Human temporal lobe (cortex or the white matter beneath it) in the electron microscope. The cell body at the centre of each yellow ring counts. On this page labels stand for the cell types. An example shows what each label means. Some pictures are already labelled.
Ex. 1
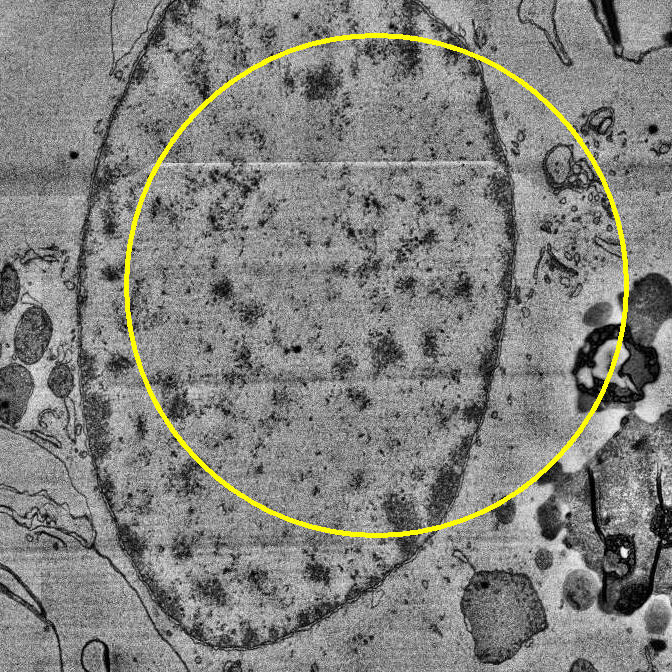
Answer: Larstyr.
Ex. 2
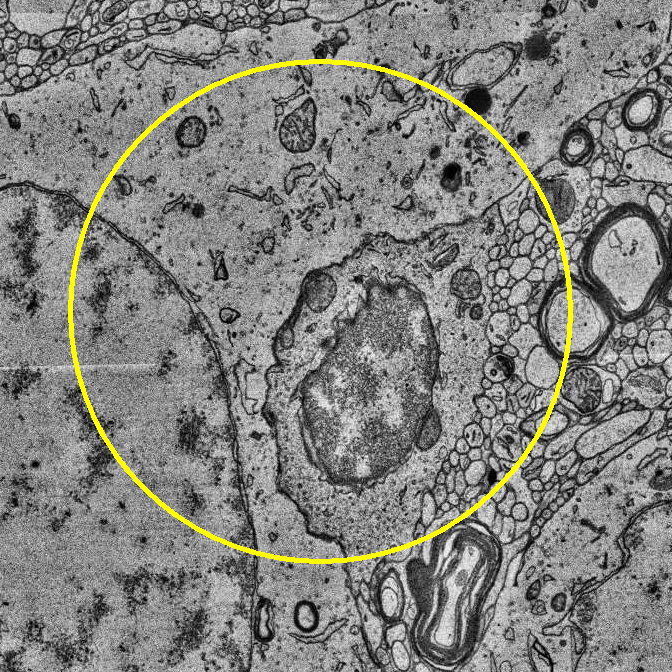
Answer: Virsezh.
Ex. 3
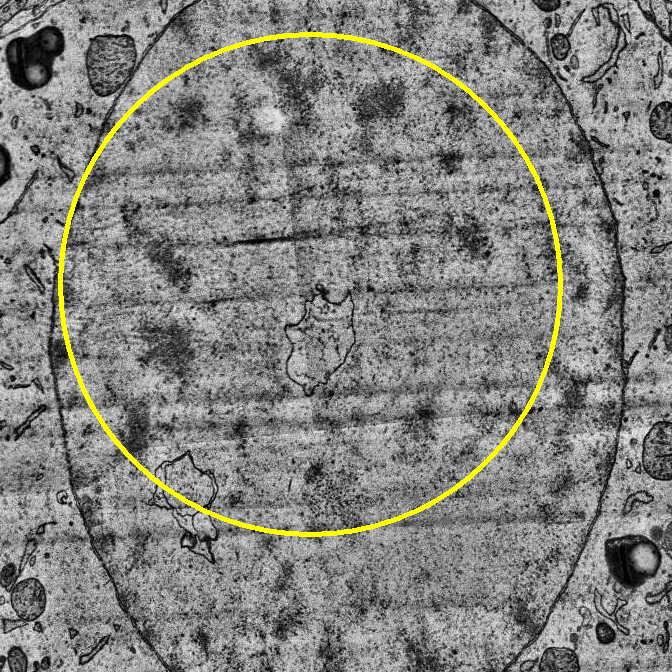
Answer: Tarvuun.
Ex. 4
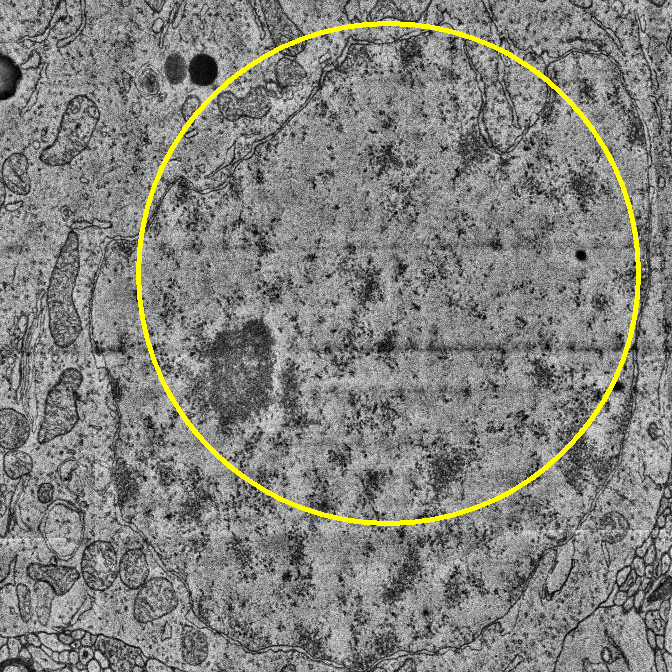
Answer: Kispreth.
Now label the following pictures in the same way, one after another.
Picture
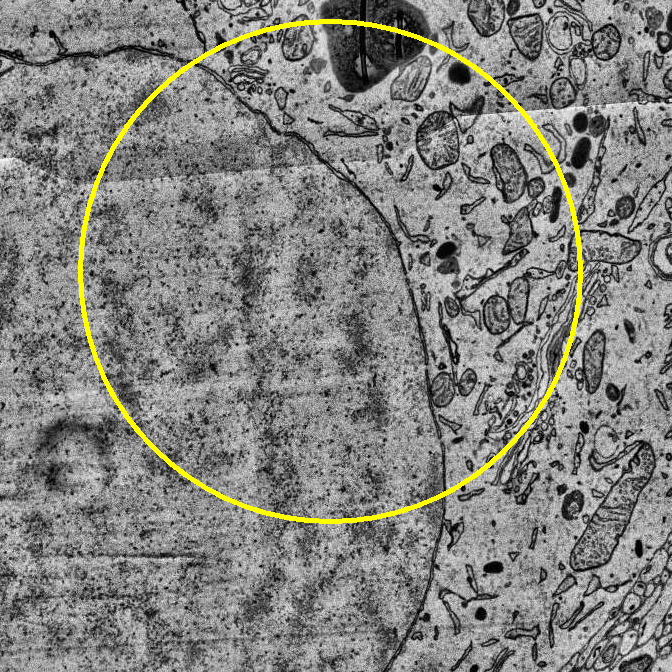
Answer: Kispreth.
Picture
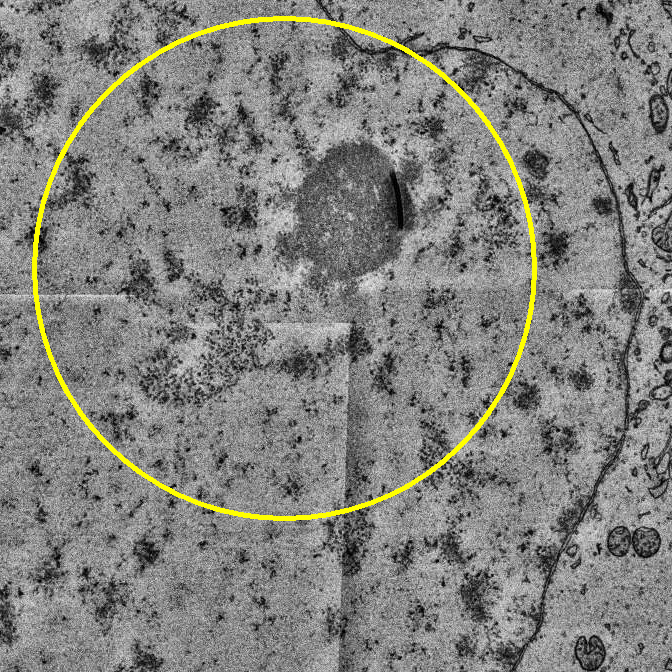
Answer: Tarvuun.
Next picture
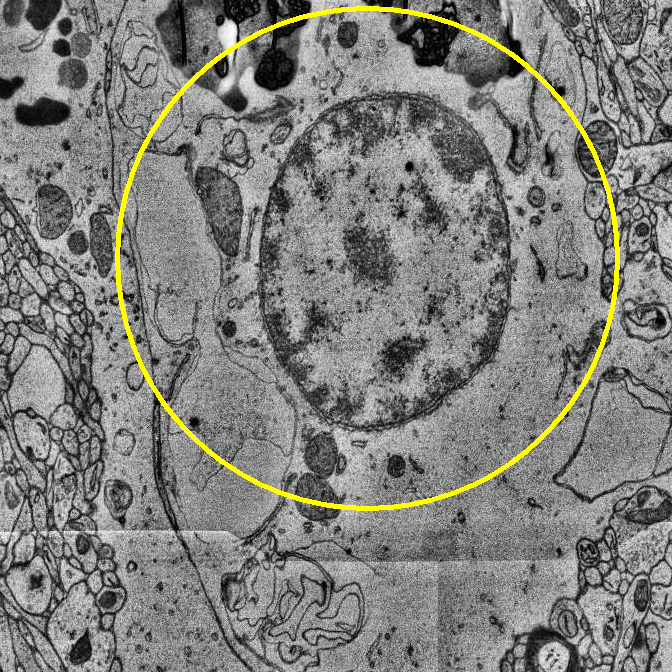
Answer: Larstyr.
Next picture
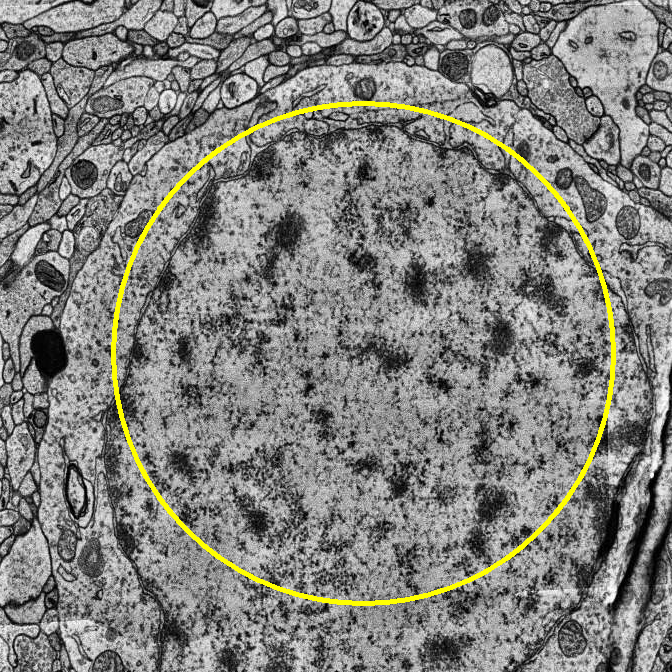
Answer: Kispreth.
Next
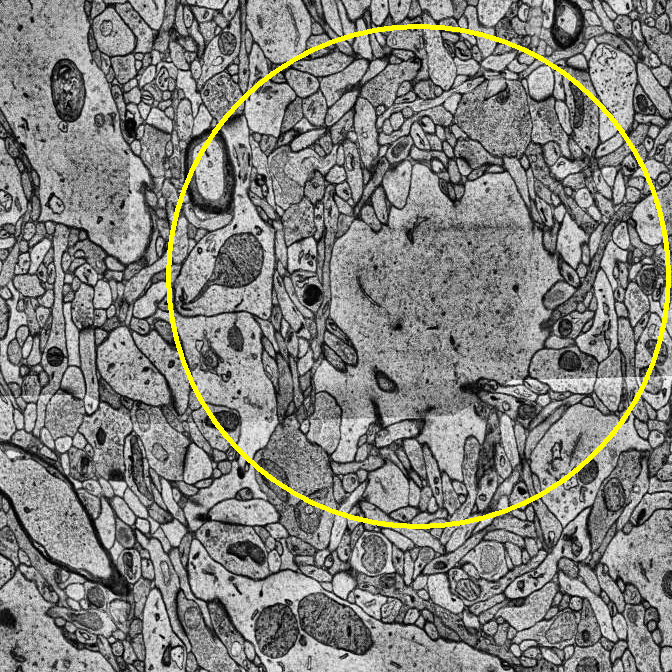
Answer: Larstyr.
